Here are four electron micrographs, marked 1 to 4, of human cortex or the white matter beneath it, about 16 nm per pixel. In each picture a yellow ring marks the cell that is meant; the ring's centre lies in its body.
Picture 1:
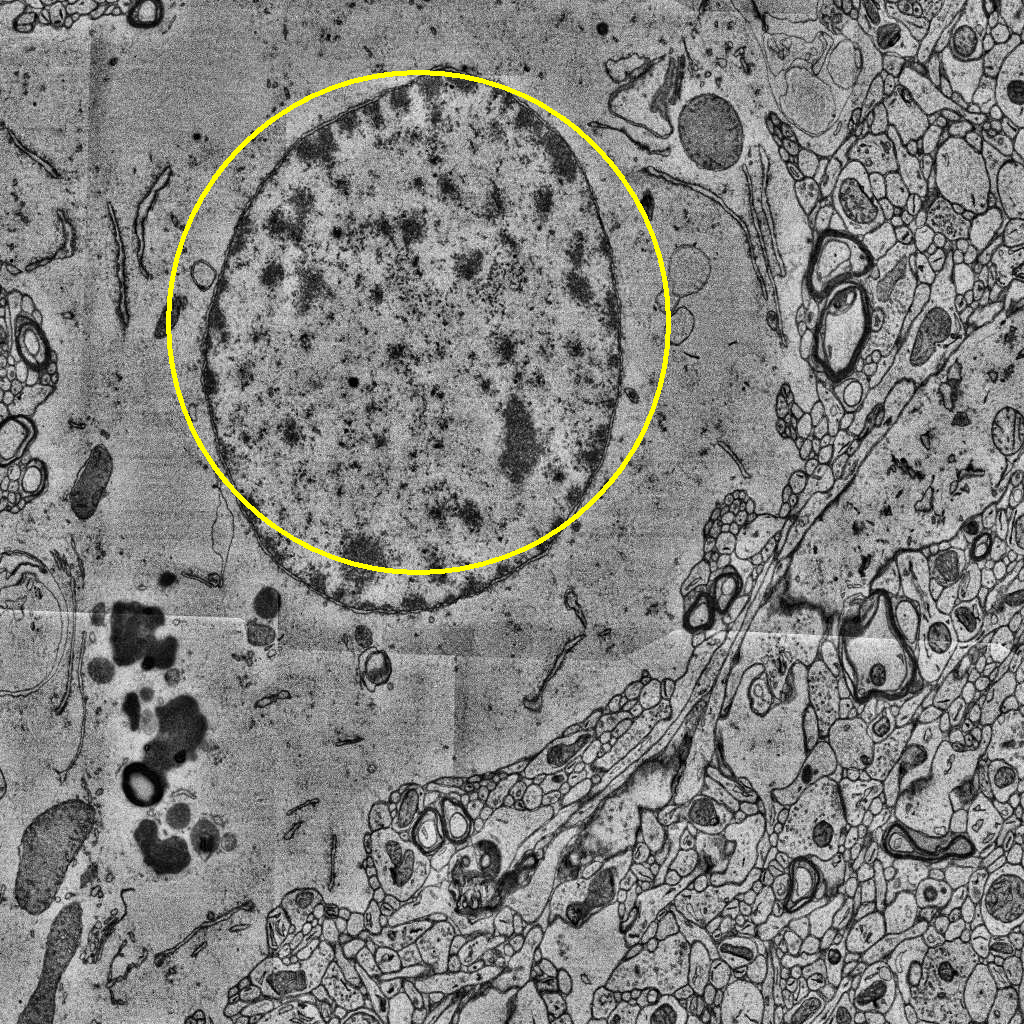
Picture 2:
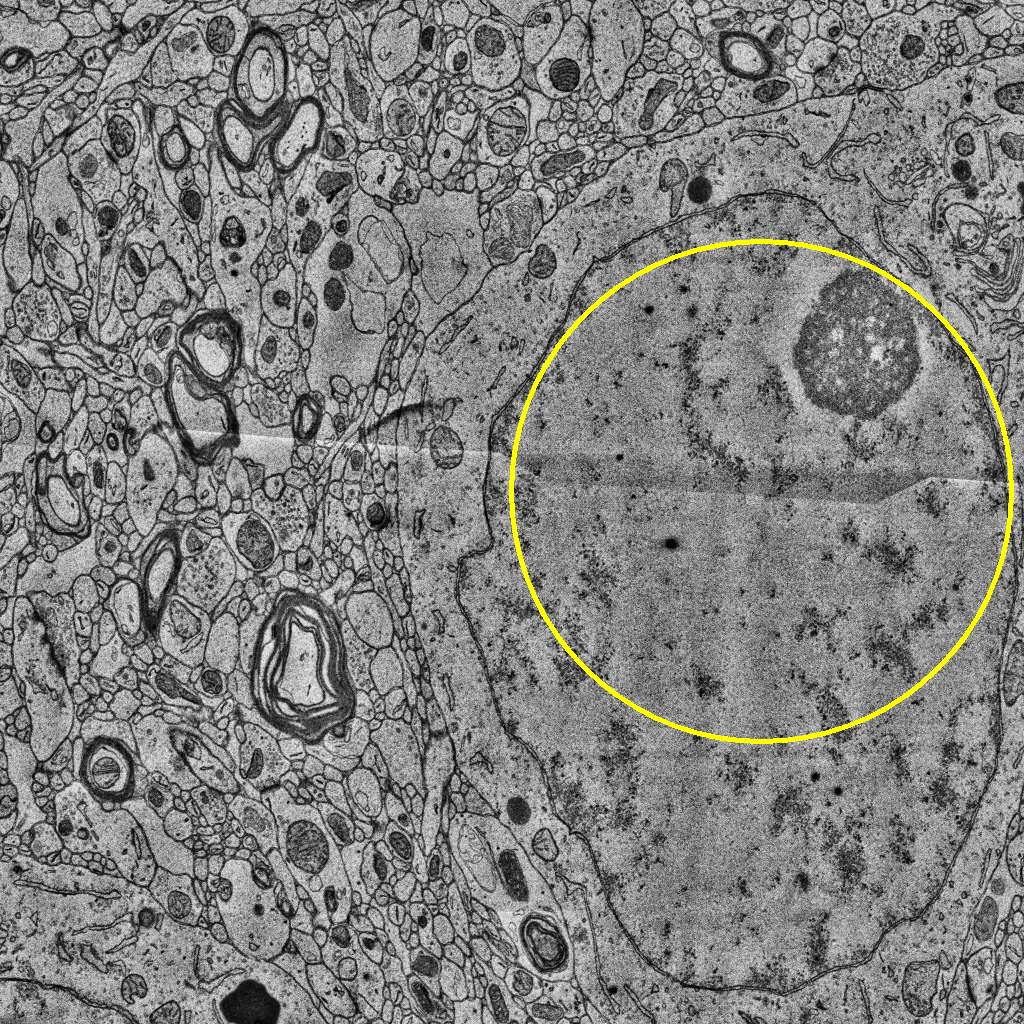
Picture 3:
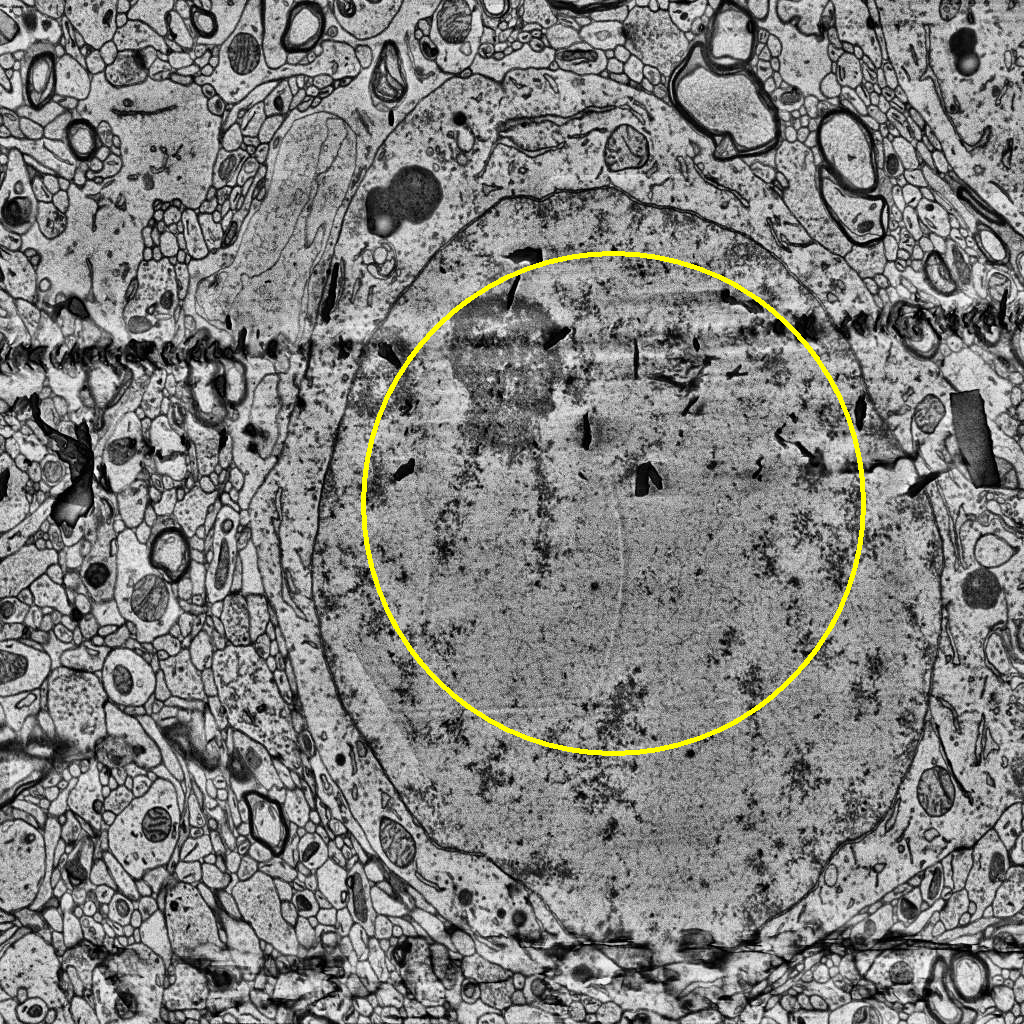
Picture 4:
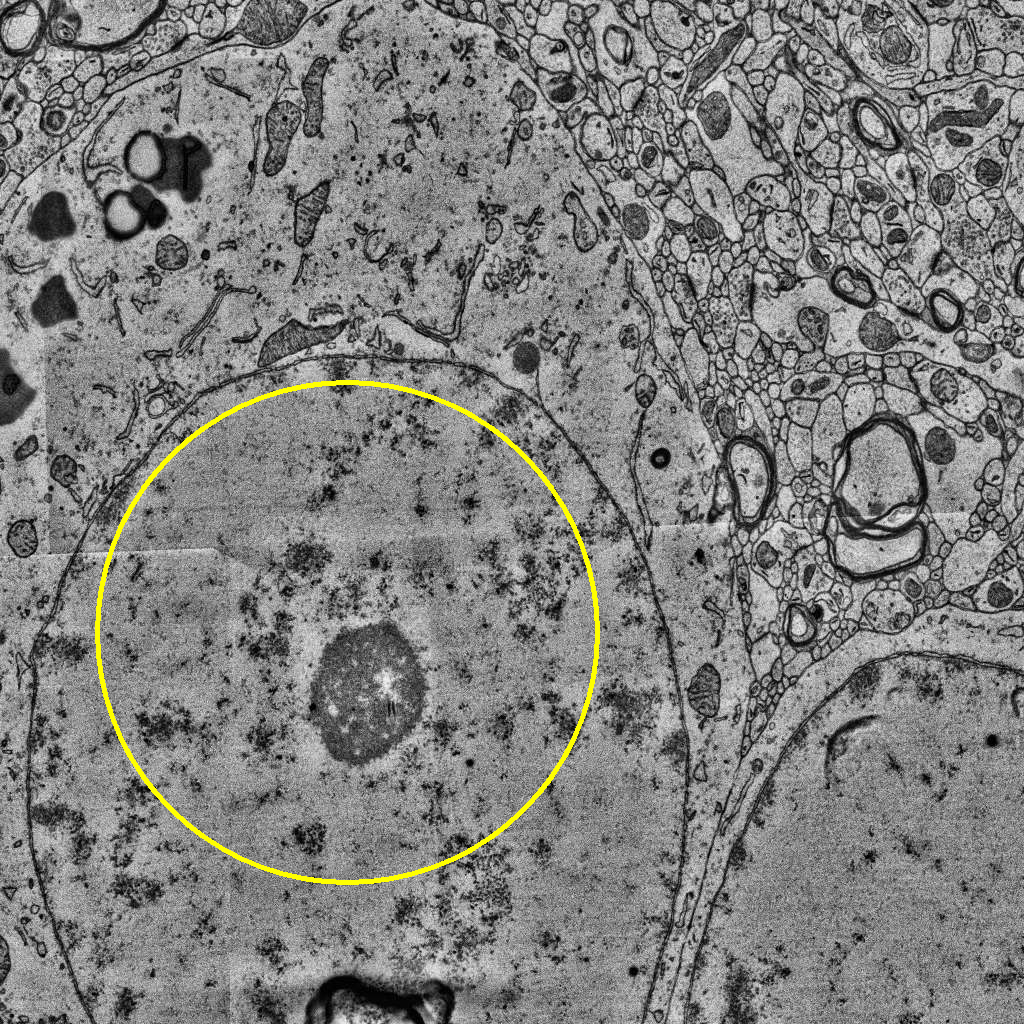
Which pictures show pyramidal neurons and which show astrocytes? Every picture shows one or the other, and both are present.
Pictures 2, 3 and 4 show pyramidal neurons, and picture 1 shows an astrocyte.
